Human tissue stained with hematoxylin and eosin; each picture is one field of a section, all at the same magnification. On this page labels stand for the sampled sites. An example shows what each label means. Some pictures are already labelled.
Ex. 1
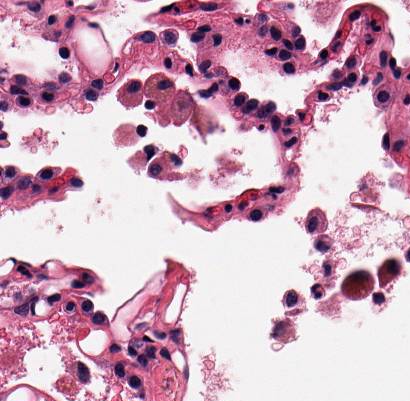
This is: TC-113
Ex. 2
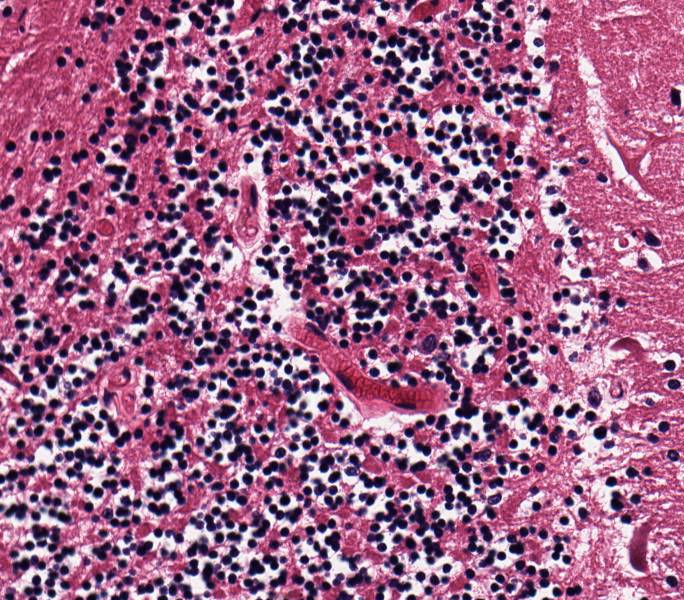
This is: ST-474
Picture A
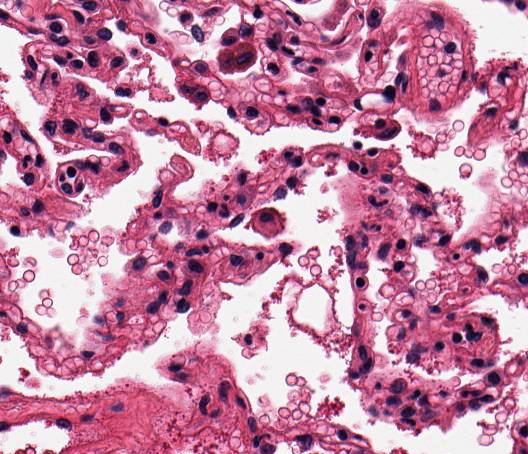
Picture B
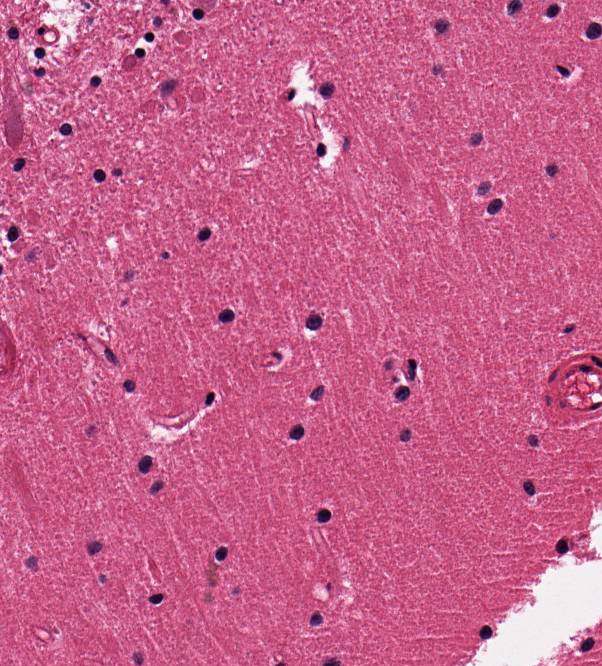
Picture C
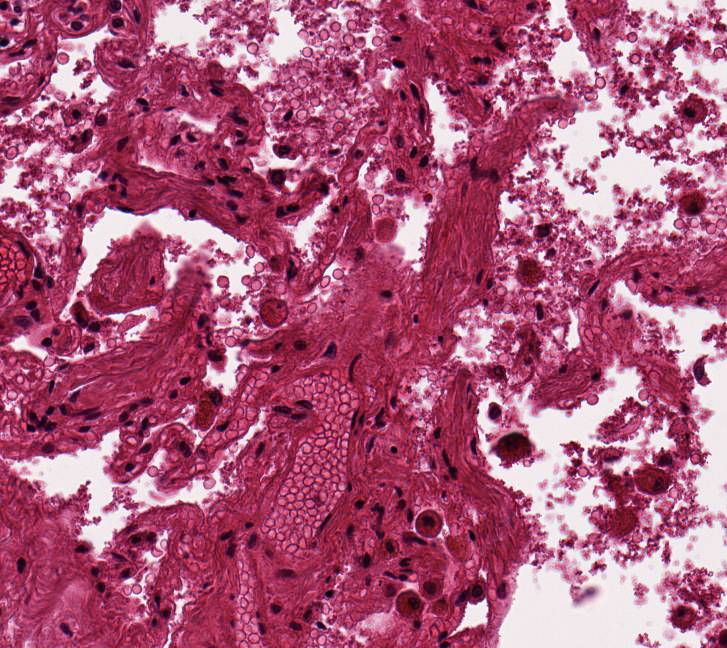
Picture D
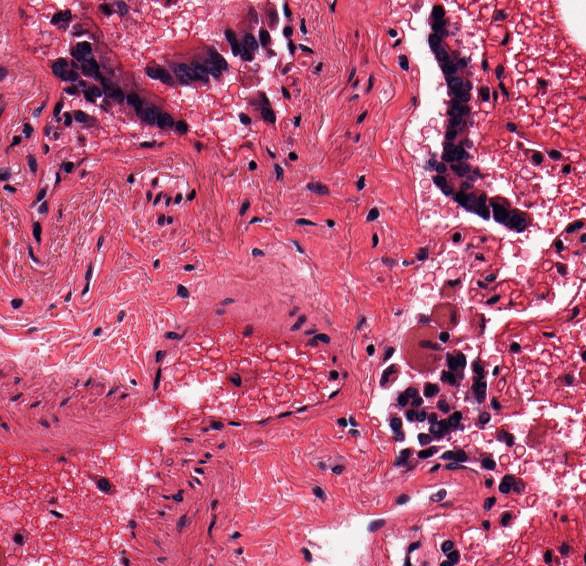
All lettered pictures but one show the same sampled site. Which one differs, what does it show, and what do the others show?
Picture B: ST-474. All others: TC-113.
